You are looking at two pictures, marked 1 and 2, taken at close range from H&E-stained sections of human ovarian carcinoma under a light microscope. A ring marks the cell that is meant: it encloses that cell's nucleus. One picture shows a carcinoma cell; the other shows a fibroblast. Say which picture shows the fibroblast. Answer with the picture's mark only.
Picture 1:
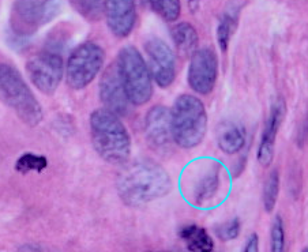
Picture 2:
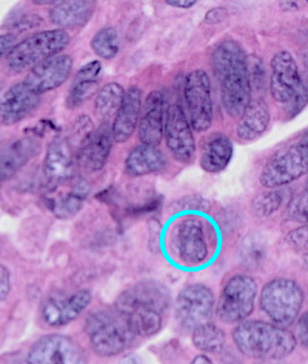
1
